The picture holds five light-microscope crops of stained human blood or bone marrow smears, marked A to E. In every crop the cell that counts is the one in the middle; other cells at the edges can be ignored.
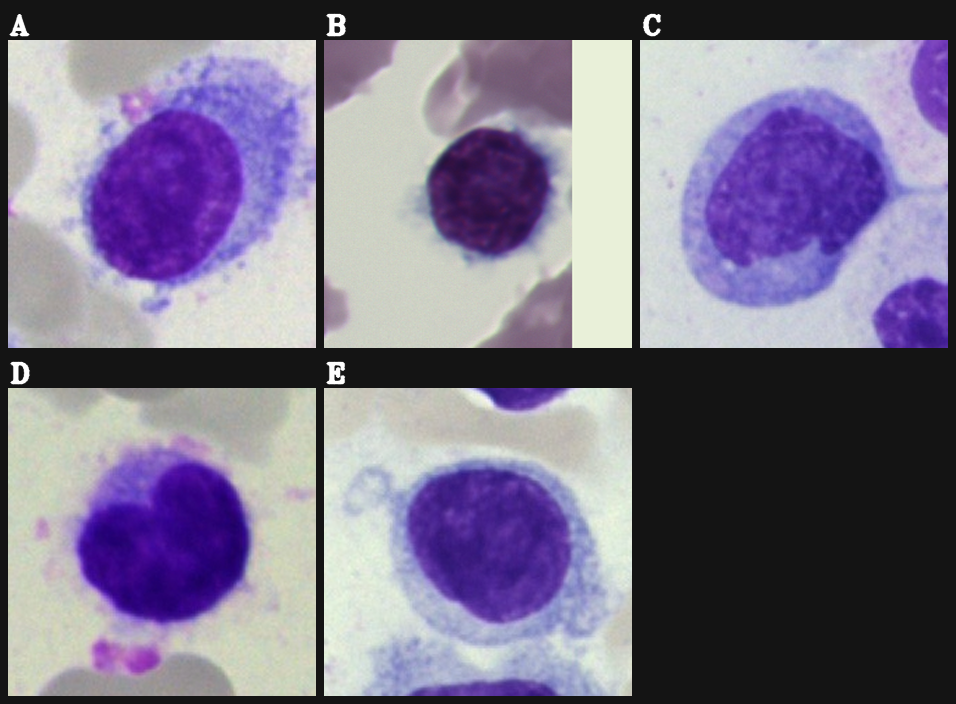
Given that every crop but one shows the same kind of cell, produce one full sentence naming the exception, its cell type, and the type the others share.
Crop C is the different one, a monocyte, while the rest are hairy cells.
